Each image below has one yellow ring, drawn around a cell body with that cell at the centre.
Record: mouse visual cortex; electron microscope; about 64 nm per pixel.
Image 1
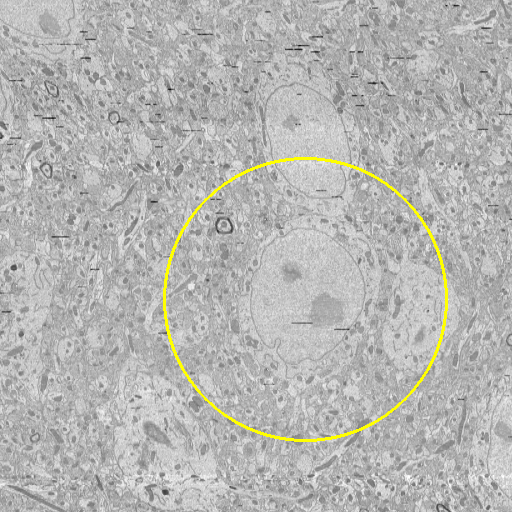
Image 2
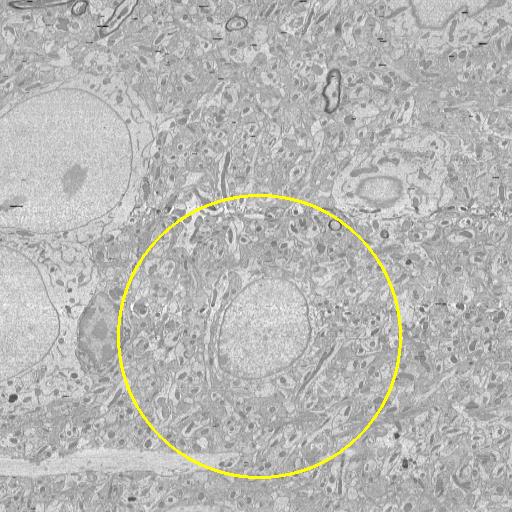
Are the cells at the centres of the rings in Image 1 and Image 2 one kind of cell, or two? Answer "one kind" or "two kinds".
two kinds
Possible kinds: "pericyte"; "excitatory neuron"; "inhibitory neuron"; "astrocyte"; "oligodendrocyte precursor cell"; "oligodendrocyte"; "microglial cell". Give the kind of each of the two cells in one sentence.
The cell in the second picture is an astrocyte, and that in the first is an excitatory neuron.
